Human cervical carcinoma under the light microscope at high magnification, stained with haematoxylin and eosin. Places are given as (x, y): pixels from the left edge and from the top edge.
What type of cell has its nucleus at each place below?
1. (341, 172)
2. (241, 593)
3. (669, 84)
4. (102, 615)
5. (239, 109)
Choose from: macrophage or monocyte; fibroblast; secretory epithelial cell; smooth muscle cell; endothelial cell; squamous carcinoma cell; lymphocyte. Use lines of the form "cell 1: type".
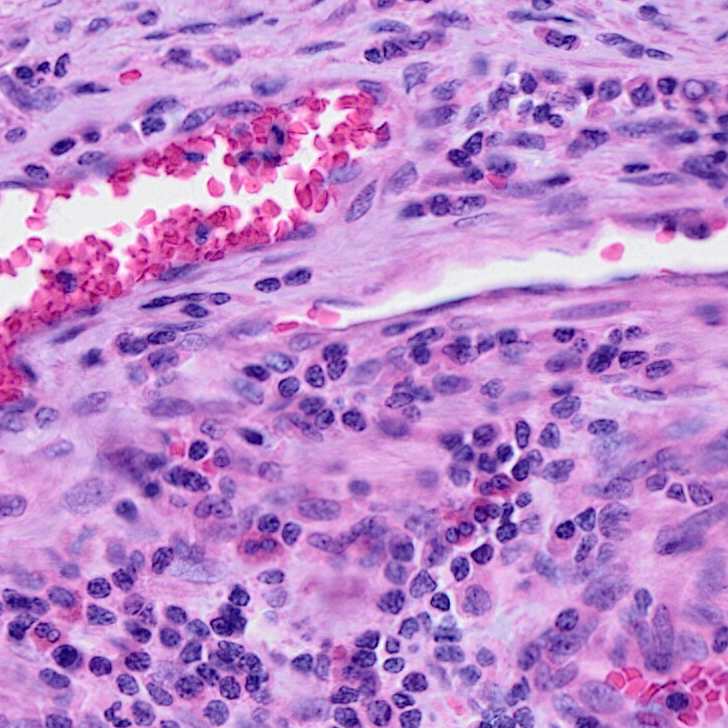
cell 1: endothelial cell
cell 2: lymphocyte
cell 3: lymphocyte
cell 4: lymphocyte
cell 5: endothelial cell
